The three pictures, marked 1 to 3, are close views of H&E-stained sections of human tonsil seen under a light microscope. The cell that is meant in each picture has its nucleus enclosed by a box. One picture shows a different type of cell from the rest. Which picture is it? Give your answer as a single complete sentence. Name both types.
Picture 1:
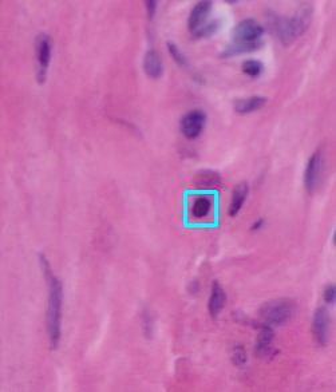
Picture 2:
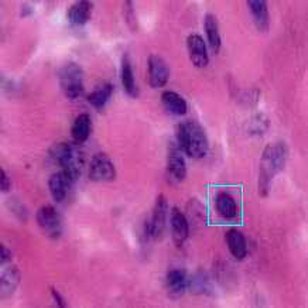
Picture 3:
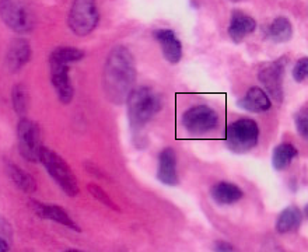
All pictures except 3 show mast cells; picture 3 shows a proliferating B cell.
